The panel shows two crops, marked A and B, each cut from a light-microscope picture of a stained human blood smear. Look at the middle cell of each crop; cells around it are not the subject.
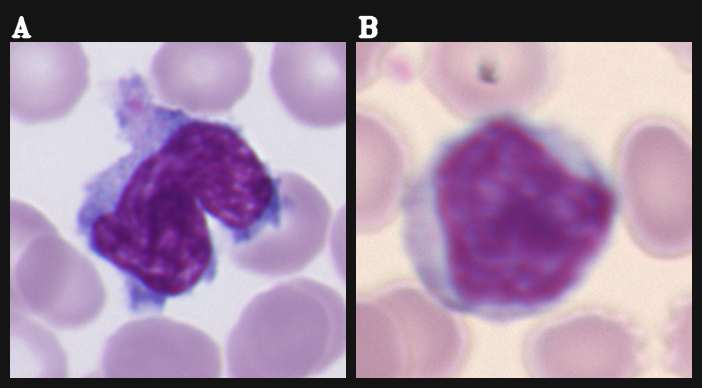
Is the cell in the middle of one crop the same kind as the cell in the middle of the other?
yes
